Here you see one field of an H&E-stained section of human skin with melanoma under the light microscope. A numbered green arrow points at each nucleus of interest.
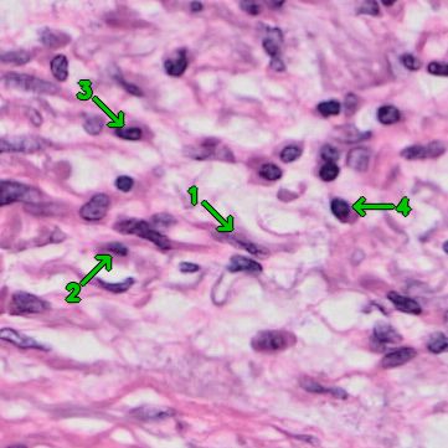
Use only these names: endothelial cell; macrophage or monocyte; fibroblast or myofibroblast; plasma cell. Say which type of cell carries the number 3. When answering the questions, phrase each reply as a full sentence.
Numbered cell 3 is a plasma cell in this tissue section.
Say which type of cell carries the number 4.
The cell that bears the number 4 is a plasma cell.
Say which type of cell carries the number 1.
Number 1 among the marked cells is a fibroblast or myofibroblast.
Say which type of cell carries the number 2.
The numeral 2 marks a plasma cell in this section.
